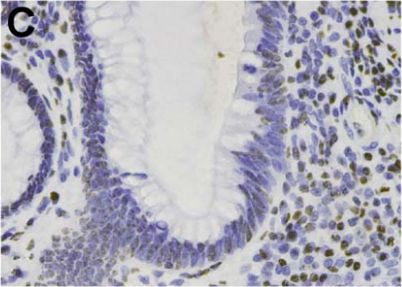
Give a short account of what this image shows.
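A colonic crypt is cut lengthwise, with a wide pale lumen lined by tall columnar epithelial cells. The elongated epithelial nuclei sit at the base of the cells, and only some of them are brown, mostly faintly. The stroma beside the crypt is densely packed with small round cells, and many of their nuclei are brown.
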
